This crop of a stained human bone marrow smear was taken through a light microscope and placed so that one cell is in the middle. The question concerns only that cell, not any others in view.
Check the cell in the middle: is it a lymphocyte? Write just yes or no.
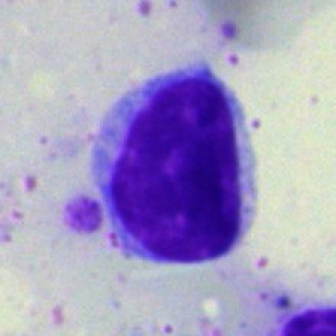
yes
